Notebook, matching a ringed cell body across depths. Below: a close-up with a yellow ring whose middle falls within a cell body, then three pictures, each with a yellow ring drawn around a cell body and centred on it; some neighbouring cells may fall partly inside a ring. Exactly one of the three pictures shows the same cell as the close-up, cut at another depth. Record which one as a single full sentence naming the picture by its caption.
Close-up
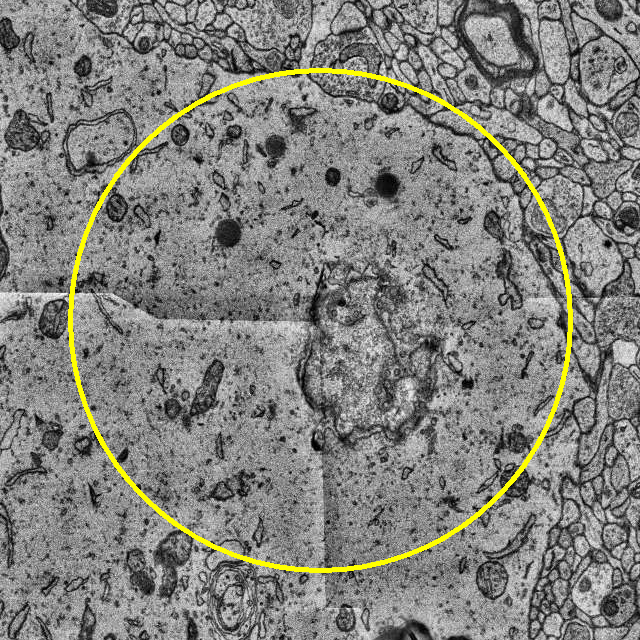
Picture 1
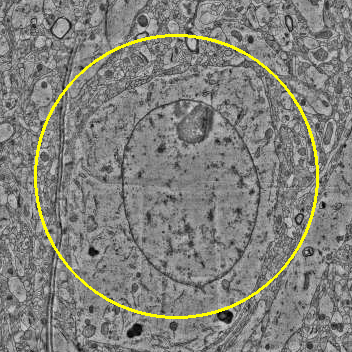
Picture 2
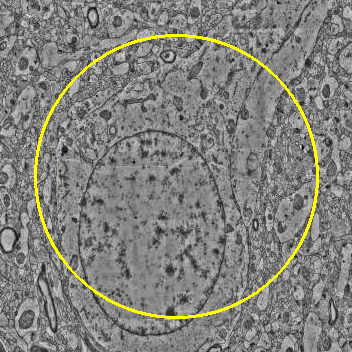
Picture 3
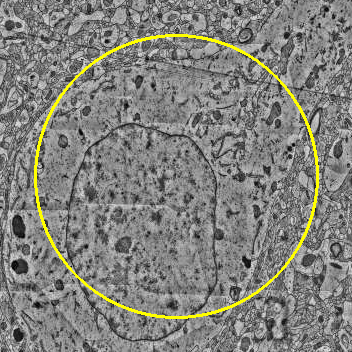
The close-up matches the cell enclosed by the yellow ring in Picture 1.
